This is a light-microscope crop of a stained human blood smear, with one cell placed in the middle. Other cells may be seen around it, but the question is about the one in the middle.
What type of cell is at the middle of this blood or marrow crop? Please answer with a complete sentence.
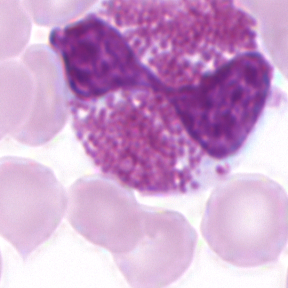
What sits at the centre of this crop is an eosinophil.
